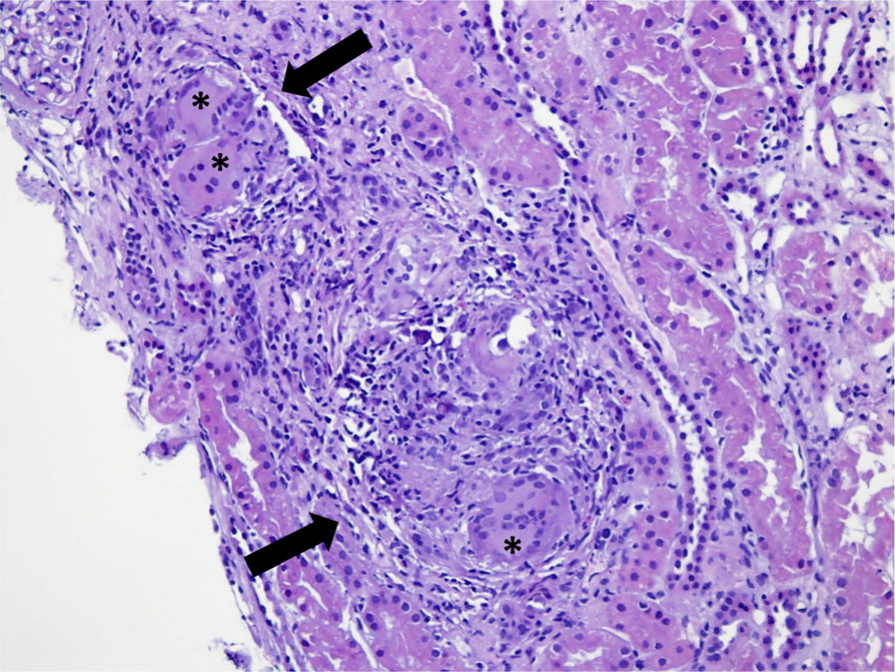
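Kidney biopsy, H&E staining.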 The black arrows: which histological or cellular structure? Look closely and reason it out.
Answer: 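The arrows point to rounded nodular clusters of pale cells and large many-nucleated cells. The clusters are rimmed by dense small dark nuclei. No area of amorphous necrotic debris is seen in the nodules.
Hence: non caseating granulomas.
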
